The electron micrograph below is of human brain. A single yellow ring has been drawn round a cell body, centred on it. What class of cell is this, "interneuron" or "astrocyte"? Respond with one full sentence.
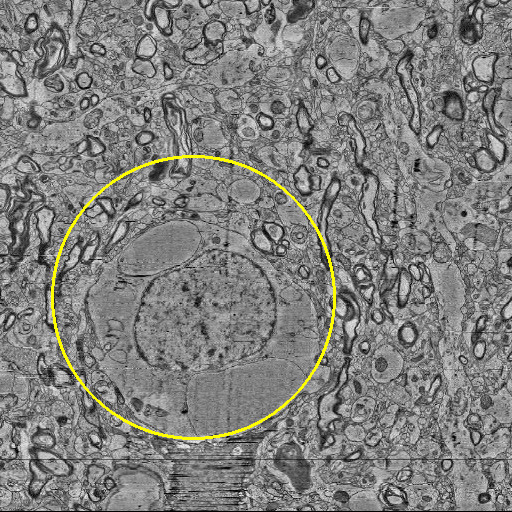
In the micrograph, the cell centred inside the yellow ring is an astrocyte.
